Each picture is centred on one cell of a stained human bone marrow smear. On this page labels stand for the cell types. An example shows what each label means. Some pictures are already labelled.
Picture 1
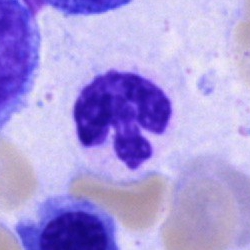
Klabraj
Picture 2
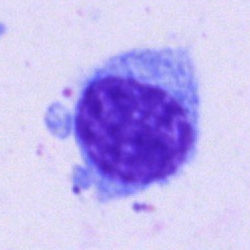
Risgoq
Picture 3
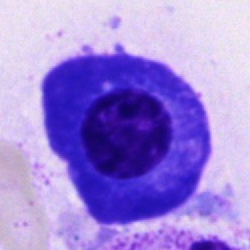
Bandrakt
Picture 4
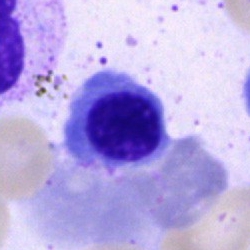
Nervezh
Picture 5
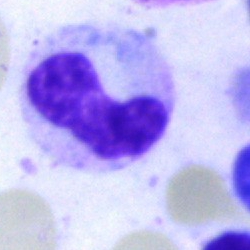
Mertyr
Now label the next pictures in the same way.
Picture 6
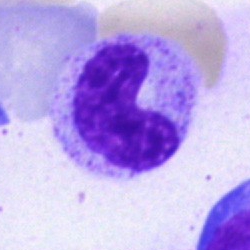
Mertyr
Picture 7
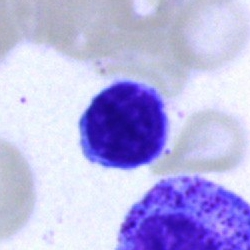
Risgoq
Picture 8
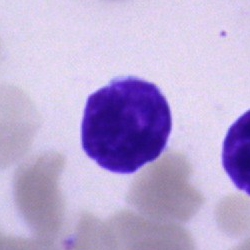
Risgoq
